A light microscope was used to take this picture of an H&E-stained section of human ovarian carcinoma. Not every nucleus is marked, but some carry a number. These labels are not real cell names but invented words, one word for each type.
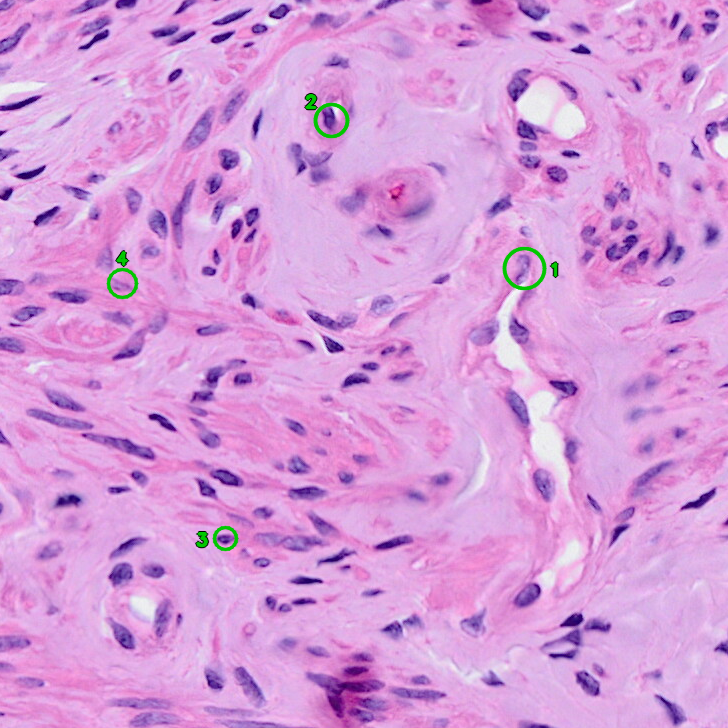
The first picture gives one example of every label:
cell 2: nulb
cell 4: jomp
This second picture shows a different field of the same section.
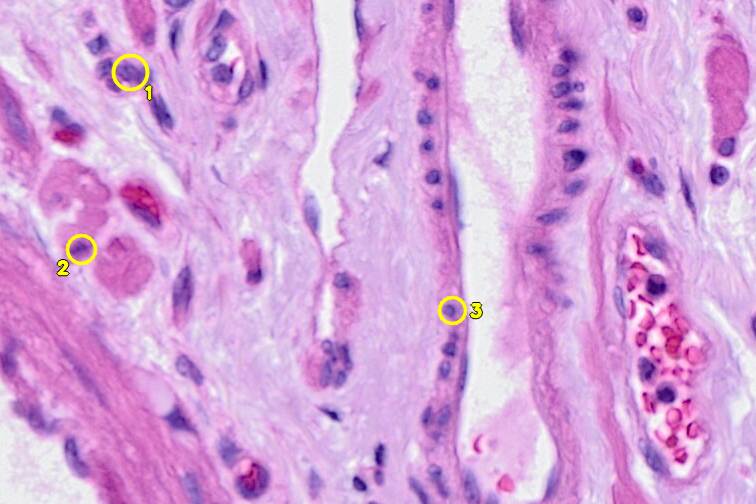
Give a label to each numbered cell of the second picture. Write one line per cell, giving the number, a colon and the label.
1: nulb
2: jomp
3: jomp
